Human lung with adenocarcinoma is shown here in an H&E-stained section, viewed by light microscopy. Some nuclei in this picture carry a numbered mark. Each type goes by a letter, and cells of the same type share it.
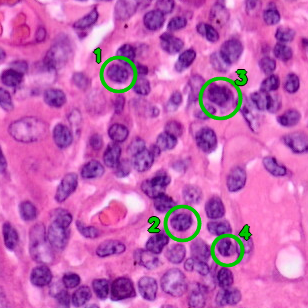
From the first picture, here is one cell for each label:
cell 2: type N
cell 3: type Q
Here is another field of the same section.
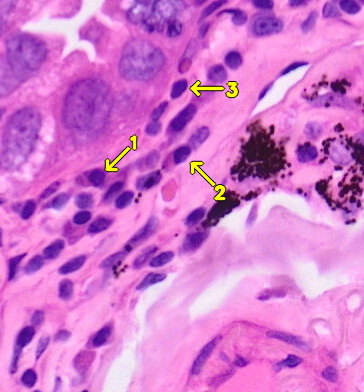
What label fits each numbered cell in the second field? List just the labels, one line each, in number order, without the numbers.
type Q
type Q
type N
